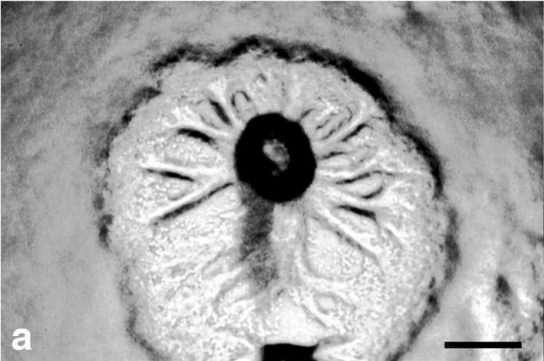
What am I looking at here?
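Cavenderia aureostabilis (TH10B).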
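This is an aggregation of amoebae seen from above, with a dark central mound surrounded by radial streams. The streams are narrow, pale ridges that converge on the centre from all around, some branching toward their outer ends. The whole aggregation field is roughly circular and bordered by a darker rim.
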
